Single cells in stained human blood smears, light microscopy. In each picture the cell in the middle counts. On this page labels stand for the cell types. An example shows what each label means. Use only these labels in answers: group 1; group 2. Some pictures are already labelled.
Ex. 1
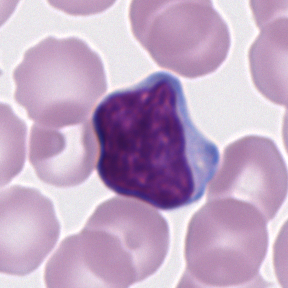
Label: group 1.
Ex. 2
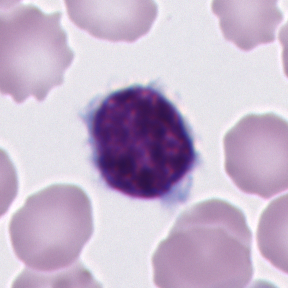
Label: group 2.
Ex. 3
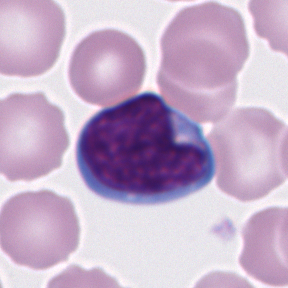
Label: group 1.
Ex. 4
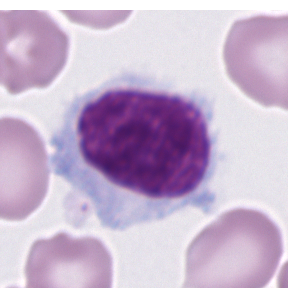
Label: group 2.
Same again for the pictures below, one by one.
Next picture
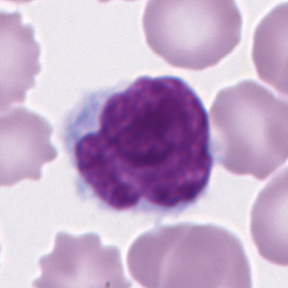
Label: group 2.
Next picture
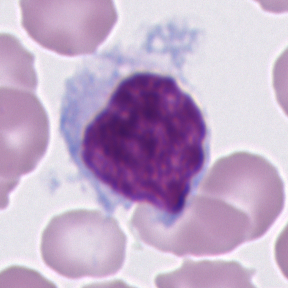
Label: group 2.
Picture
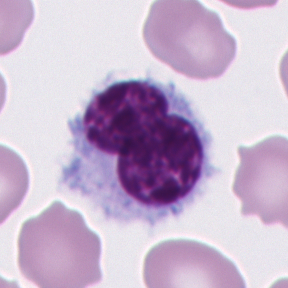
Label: group 2.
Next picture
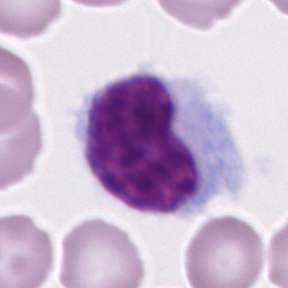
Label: group 2.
